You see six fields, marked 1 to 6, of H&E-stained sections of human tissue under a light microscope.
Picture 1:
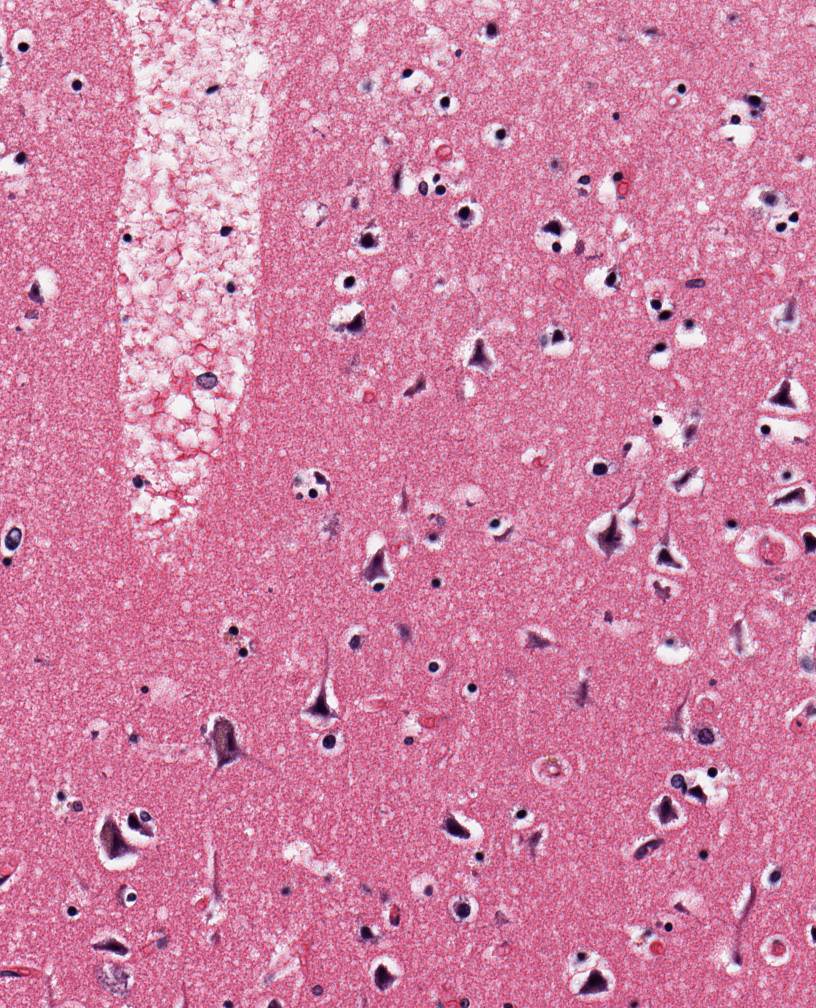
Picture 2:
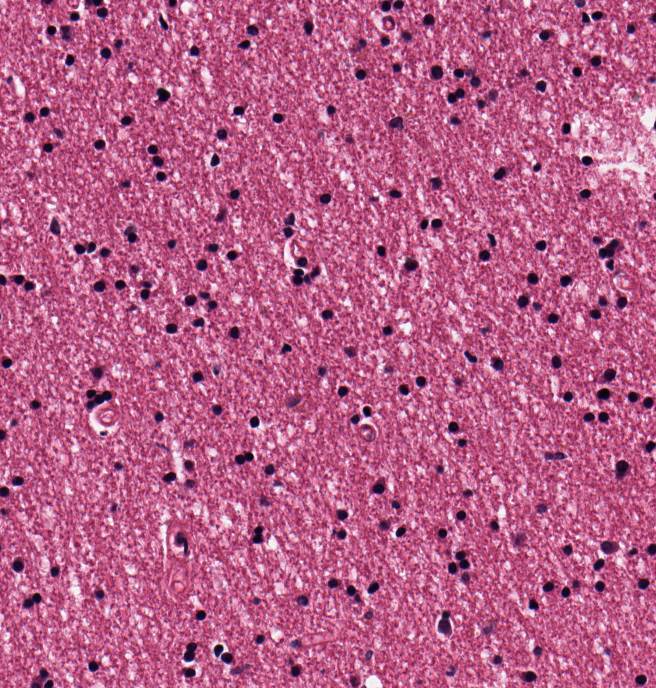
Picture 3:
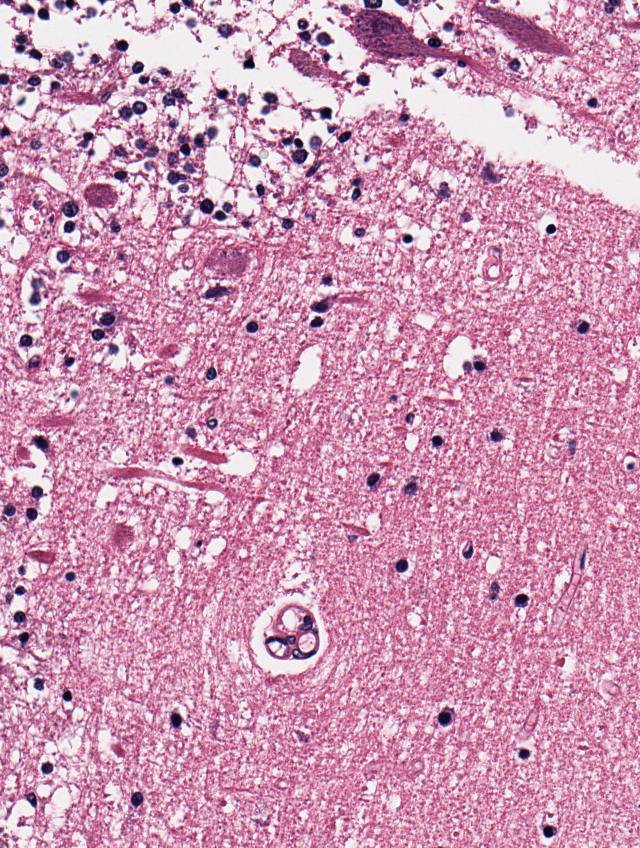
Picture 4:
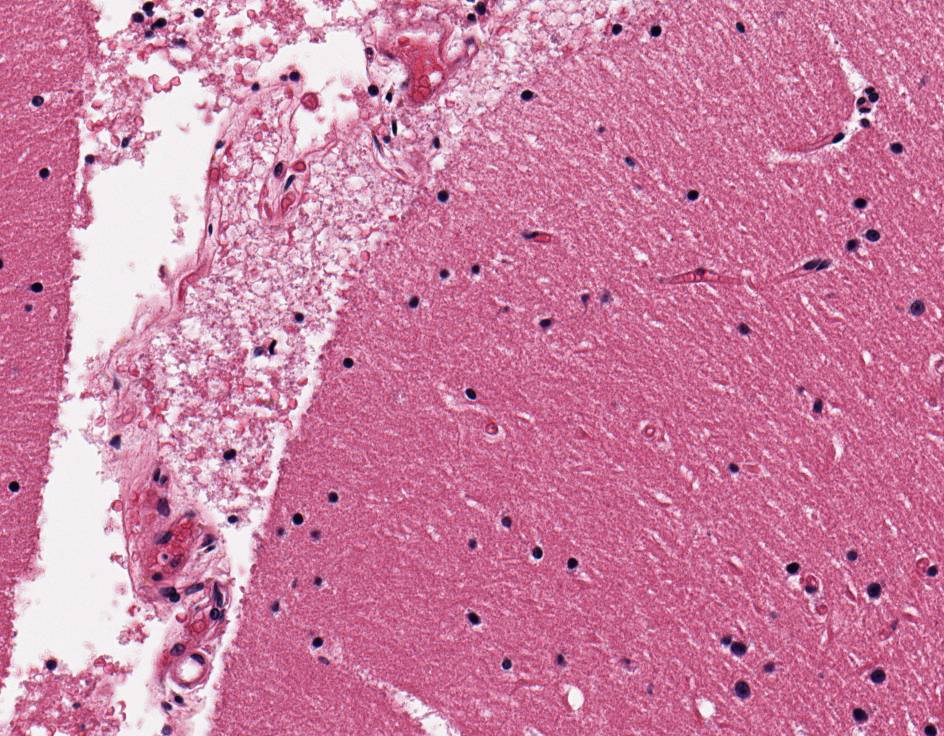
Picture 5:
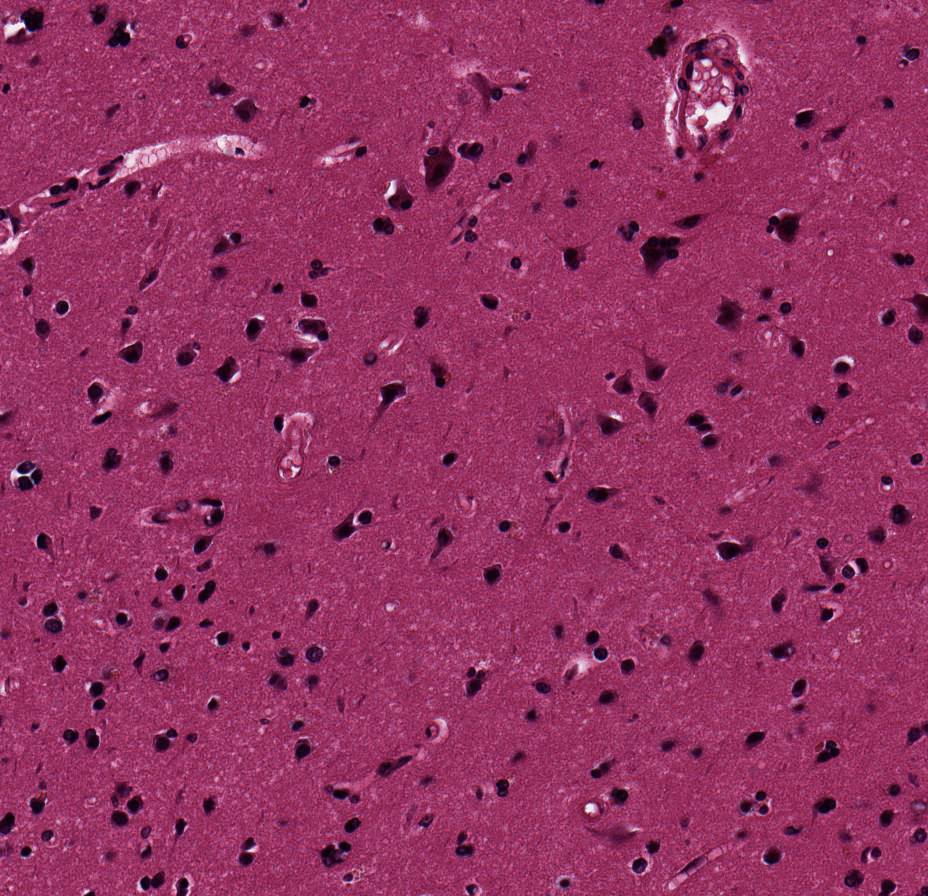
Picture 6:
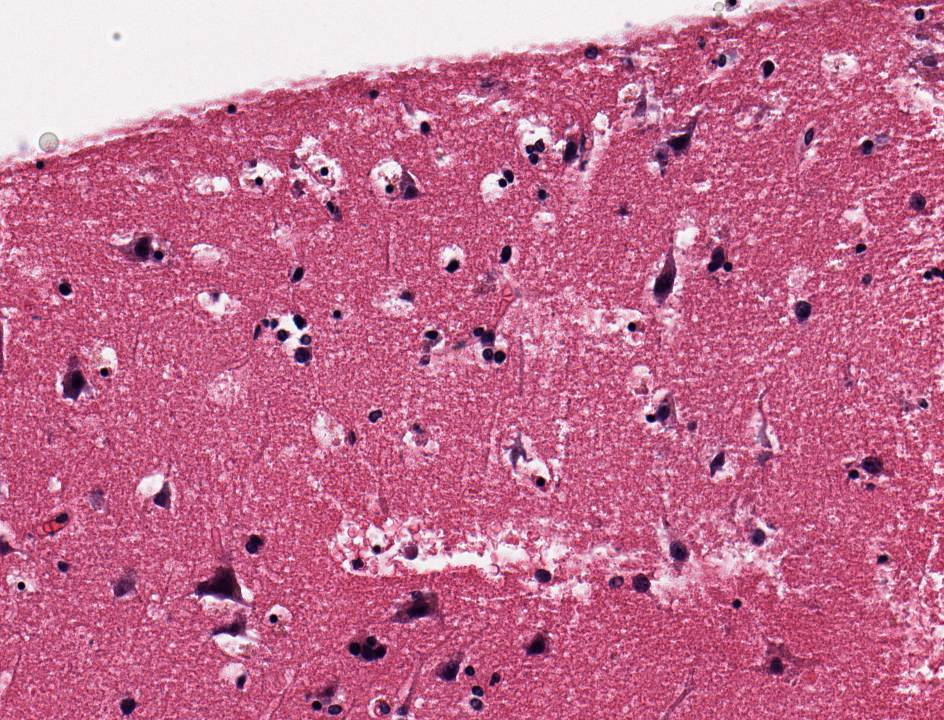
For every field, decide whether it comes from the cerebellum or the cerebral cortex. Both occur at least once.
1: cerebral cortex
2: cerebral cortex
3: cerebellum
4: cerebellum
5: cerebral cortex
6: cerebral cortex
